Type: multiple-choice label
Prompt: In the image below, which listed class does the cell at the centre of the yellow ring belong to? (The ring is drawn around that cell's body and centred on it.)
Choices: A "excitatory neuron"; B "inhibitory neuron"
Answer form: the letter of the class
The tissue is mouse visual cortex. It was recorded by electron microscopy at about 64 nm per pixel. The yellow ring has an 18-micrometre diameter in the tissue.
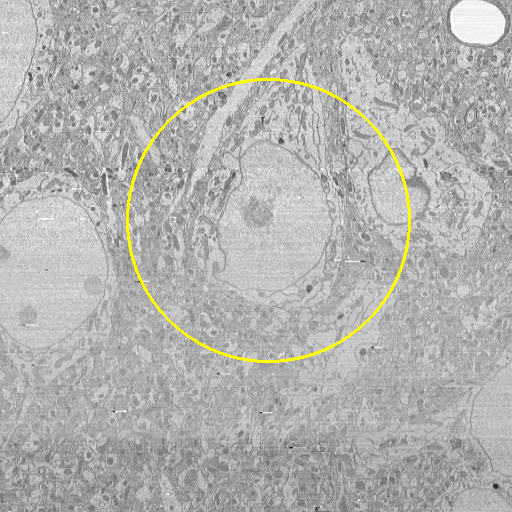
B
